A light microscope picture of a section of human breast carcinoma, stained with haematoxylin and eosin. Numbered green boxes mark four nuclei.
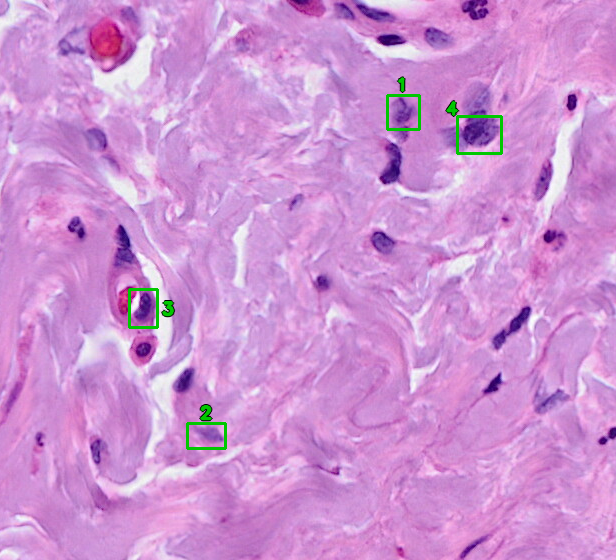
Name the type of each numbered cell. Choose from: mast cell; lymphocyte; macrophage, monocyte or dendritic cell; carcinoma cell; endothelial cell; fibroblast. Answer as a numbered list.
1. fibroblast
2. fibroblast
3. endothelial cell
4. fibroblast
